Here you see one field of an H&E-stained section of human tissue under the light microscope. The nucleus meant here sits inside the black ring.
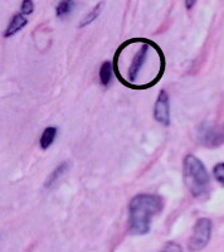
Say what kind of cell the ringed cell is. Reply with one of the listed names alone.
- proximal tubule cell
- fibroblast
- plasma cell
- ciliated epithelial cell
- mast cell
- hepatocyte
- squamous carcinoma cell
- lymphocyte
fibroblast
